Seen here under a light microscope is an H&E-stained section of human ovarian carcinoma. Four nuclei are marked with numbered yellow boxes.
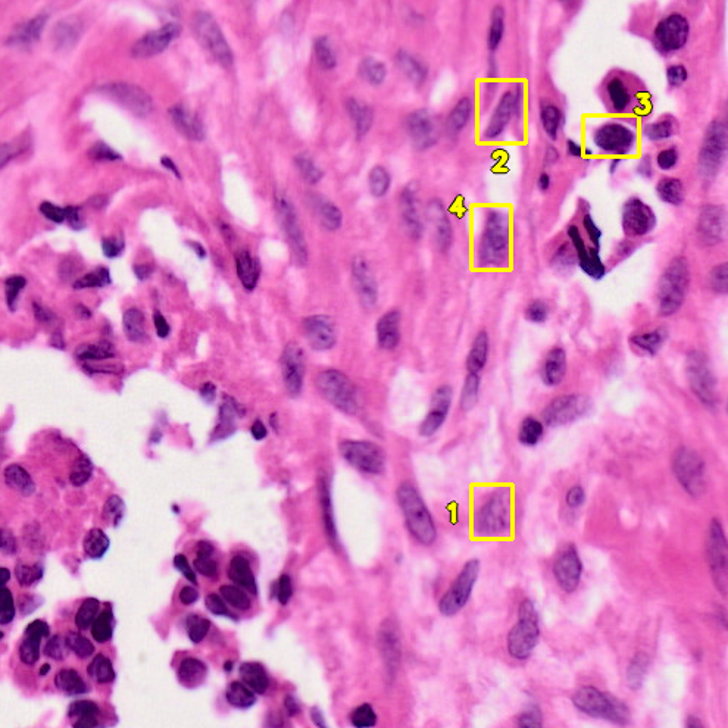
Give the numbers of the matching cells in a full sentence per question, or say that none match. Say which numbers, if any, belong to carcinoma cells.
As for the numbered cells, only cell 3 is a carcinoma cell.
